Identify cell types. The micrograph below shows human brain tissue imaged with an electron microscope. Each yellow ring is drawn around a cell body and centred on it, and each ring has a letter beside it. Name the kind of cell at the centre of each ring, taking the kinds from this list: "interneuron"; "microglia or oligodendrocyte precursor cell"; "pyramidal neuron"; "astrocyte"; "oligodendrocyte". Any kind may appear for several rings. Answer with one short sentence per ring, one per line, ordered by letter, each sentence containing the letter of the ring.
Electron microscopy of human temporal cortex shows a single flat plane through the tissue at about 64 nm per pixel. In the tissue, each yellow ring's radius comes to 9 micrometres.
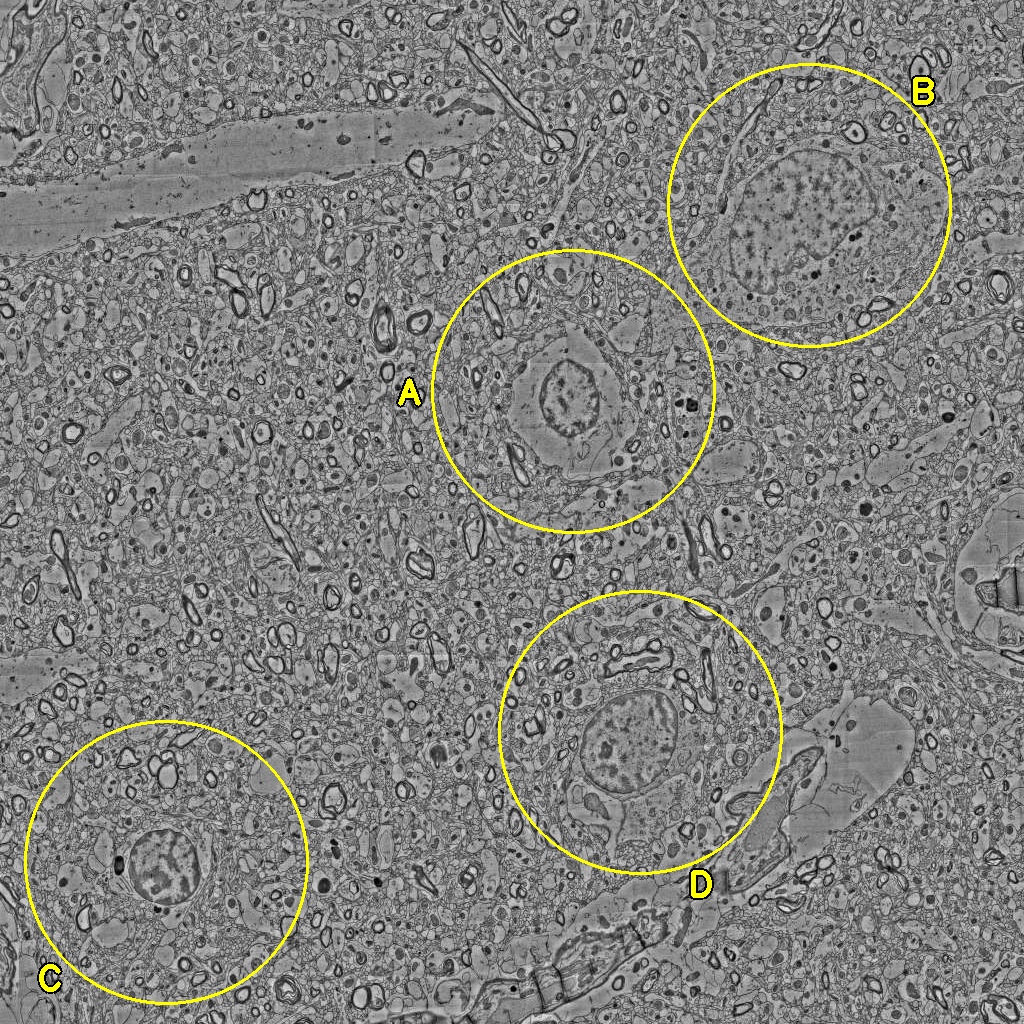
Ring A marks an astrocyte.
Ring B marks an interneuron.
Ring C marks a microglial cell or oligodendrocyte precursor cell.
Ring D marks an oligodendrocyte.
